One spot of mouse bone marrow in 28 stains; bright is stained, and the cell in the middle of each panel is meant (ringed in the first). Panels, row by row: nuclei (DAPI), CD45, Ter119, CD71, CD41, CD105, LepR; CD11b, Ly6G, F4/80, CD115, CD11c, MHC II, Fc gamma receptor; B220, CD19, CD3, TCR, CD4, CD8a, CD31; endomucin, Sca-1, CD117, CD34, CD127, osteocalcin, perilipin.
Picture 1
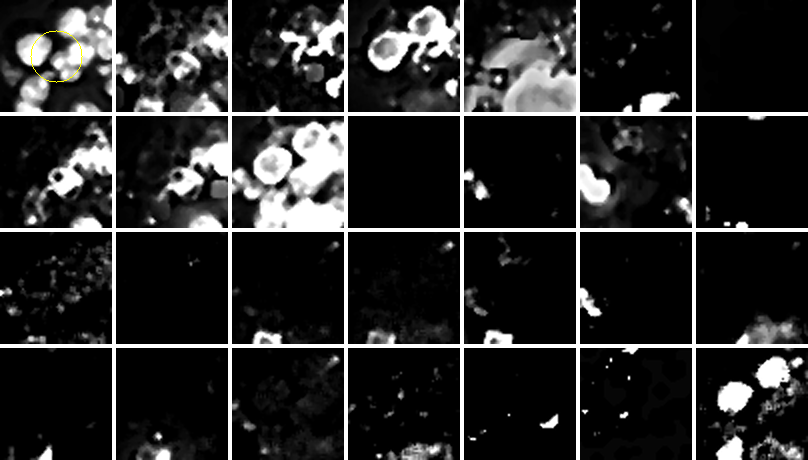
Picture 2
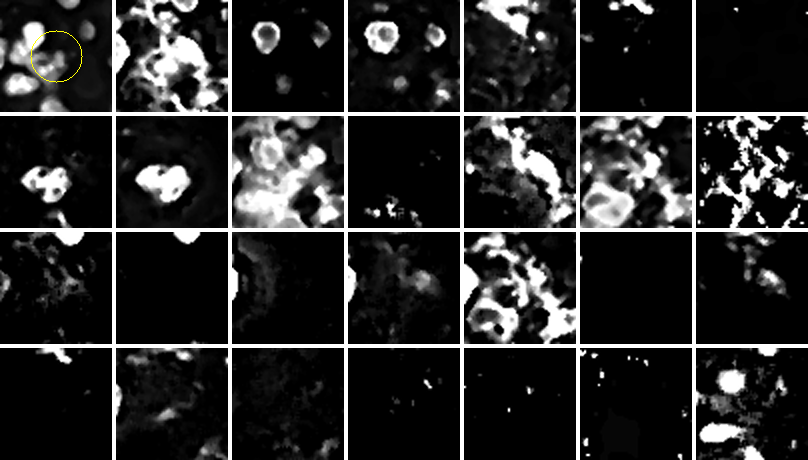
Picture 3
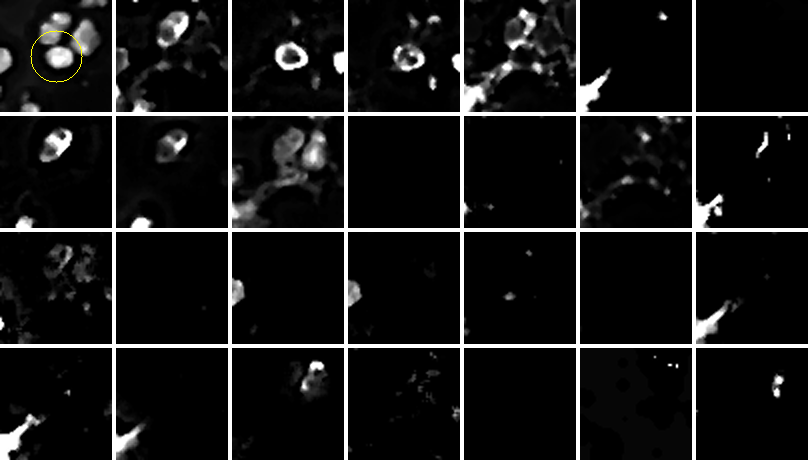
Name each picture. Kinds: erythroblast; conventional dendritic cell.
Picture 1: erythroblast
Picture 2: conventional dendritic cell
Picture 3: erythroblast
